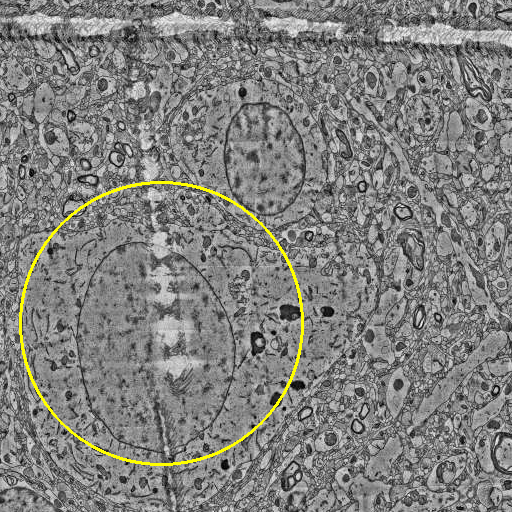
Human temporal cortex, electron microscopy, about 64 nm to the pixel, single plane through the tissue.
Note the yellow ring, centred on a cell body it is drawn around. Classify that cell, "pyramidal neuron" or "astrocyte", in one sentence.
The cell the ring is centred on is a pyramidal neuron.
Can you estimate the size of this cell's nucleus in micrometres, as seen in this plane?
In this plane, approximately 14 by 10 micrometers.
